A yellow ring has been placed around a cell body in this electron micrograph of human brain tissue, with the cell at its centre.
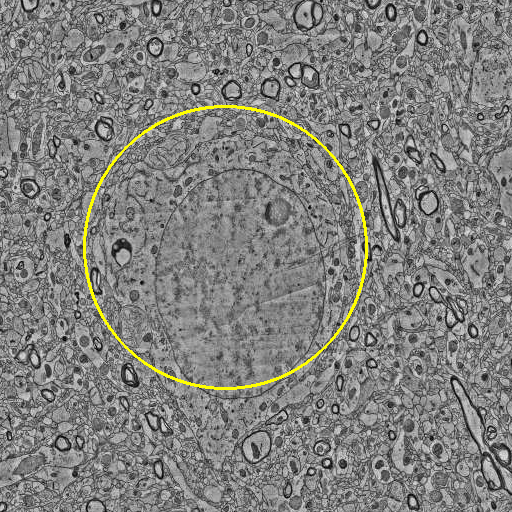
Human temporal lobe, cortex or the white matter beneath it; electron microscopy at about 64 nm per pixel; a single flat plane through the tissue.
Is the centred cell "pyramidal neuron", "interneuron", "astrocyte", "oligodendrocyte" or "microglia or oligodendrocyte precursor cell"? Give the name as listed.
pyramidal neuron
